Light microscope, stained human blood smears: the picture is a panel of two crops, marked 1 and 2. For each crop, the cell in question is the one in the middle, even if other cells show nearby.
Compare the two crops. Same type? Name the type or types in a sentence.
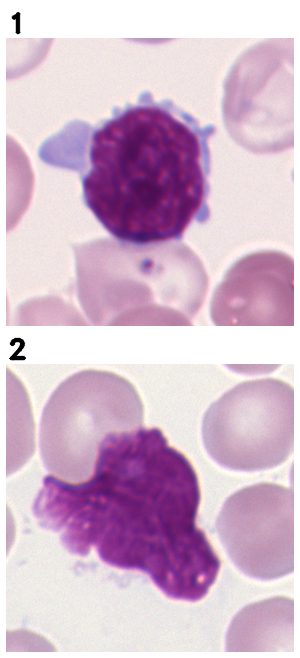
No, record crop 1 as a typical lymphocyte and crop 2 as a smudge cell.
